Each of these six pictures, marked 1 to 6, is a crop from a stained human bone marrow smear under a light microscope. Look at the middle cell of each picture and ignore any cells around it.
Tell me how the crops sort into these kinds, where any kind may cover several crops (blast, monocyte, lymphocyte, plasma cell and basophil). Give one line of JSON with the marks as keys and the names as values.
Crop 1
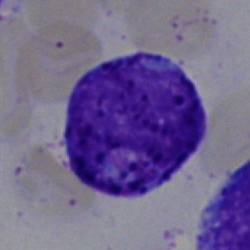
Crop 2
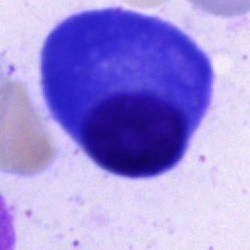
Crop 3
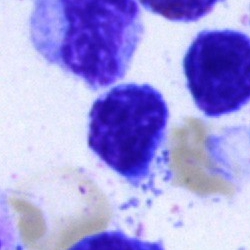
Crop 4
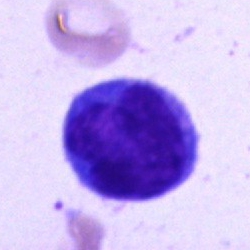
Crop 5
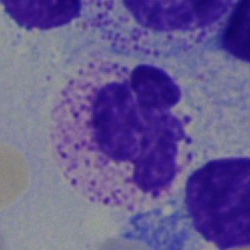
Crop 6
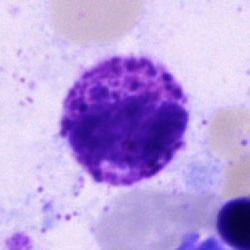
{"1": "basophil", "2": "plasma cell", "3": "lymphocyte", "4": "monocyte", "5": "basophil", "6": "basophil"}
